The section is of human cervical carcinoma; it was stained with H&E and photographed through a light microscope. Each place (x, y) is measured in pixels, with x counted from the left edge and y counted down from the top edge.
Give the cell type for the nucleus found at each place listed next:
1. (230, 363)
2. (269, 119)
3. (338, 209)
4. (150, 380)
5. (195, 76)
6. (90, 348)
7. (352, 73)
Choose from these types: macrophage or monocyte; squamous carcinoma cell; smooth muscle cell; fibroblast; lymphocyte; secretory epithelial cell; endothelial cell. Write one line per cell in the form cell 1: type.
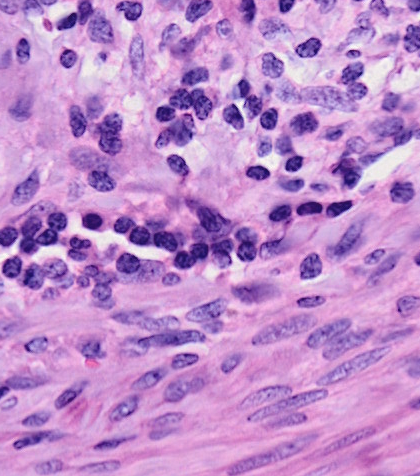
cell 1: smooth muscle cell
cell 2: lymphocyte
cell 3: lymphocyte
cell 4: smooth muscle cell
cell 5: lymphocyte
cell 6: endothelial cell
cell 7: lymphocyte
